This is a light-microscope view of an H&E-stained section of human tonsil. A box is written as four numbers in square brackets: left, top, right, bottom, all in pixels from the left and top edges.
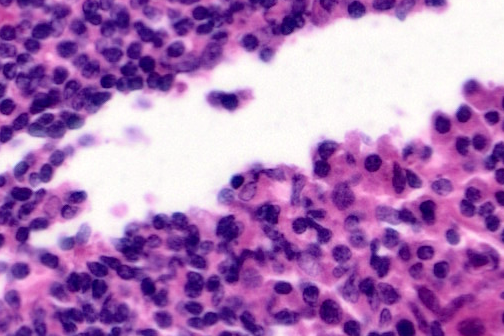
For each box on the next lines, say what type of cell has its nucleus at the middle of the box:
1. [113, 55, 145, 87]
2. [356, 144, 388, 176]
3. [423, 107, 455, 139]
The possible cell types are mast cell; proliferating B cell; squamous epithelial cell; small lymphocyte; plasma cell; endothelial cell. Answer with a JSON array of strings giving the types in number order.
["small lymphocyte", "plasma cell", "plasma cell"]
